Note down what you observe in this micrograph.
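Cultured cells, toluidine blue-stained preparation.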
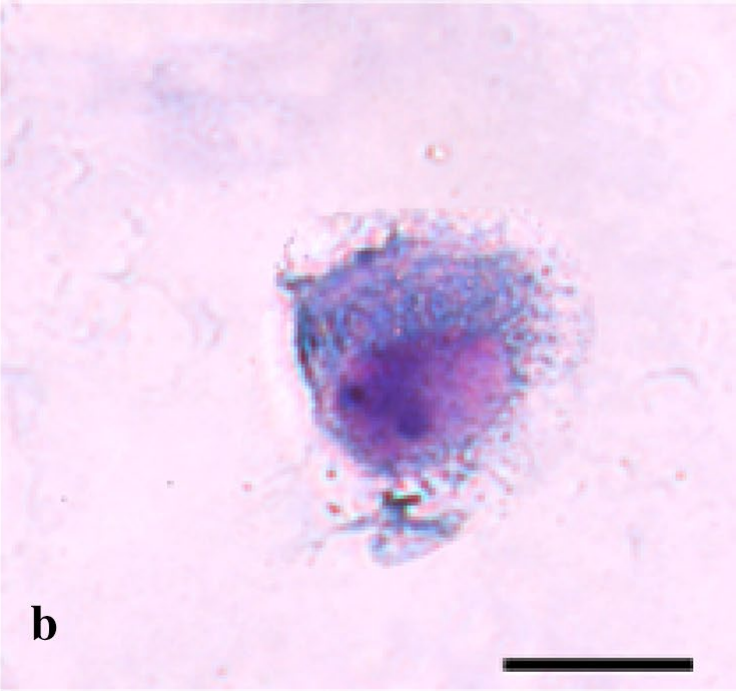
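The cell is irregular in outline rather than round. Its cytoplasm is densely packed with fine blue to violet granules. These granules are most crowded towards the upper part of the cell and thin out into a scattered, dotted fringe along the margins. The nucleus lies in the centre and lower part of the cell and shows as a purplish-pink area with darker spots. The granules partly obscure the nucleus. A small, ragged extension of stained material projects from the lower edge of the cell.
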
